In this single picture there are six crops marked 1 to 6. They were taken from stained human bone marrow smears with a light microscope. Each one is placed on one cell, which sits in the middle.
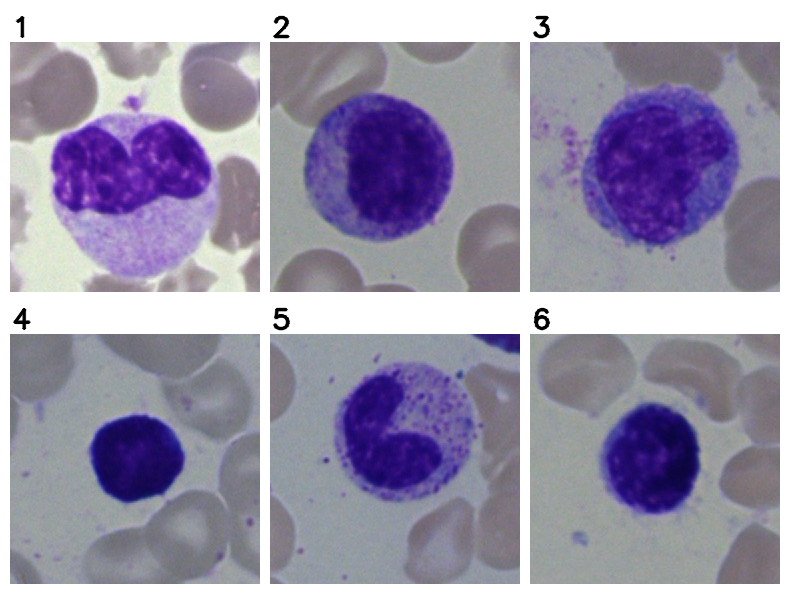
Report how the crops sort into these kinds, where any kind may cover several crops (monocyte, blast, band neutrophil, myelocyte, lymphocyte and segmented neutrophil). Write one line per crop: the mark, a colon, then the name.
1: band neutrophil
2: myelocyte
3: monocyte
4: lymphocyte
5: band neutrophil
6: lymphocyte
